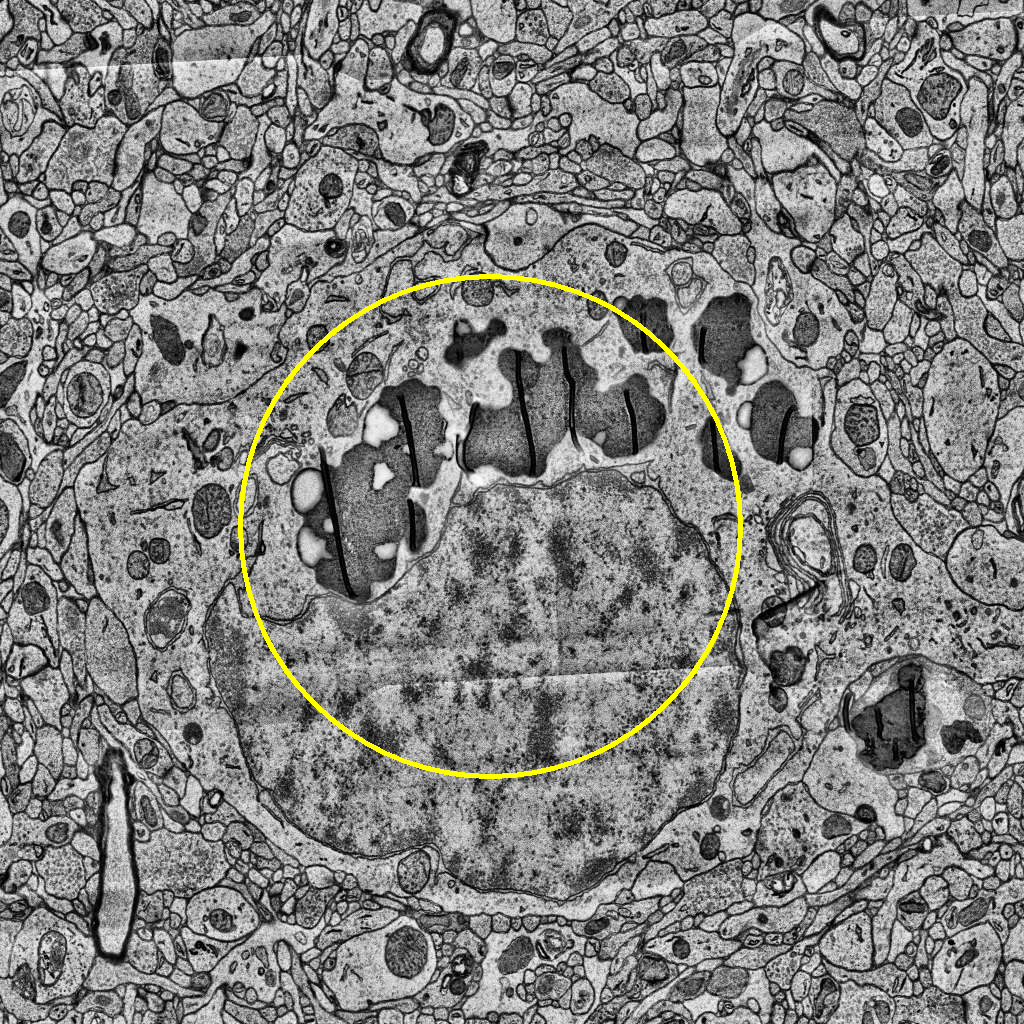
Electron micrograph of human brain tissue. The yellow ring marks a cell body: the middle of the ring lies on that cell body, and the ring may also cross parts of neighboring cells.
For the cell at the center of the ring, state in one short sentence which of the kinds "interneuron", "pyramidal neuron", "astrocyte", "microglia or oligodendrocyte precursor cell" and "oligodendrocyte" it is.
This ring's center lies on an interneuron.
